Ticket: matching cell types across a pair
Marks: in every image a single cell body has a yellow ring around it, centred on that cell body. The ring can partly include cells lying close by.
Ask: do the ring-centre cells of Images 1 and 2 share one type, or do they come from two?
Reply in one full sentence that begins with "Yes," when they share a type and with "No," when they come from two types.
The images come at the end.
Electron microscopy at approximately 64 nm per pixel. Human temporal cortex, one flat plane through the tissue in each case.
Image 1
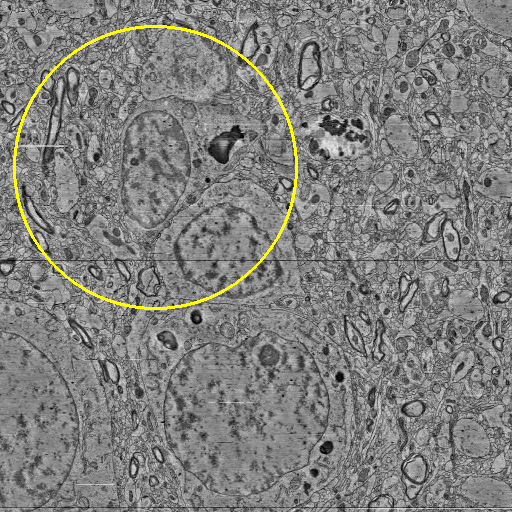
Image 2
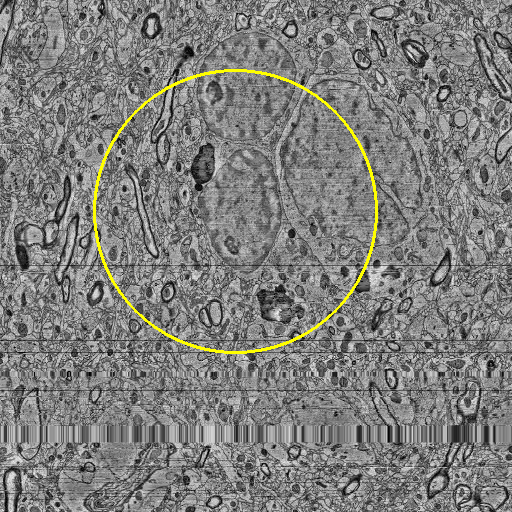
Yes, the cells in the centres of the rings in Image 1 and Image 2 share one type.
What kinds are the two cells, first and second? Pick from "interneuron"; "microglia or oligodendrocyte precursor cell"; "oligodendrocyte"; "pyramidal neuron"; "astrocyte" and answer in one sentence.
In each picture the ringed cell is an oligodendrocyte.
